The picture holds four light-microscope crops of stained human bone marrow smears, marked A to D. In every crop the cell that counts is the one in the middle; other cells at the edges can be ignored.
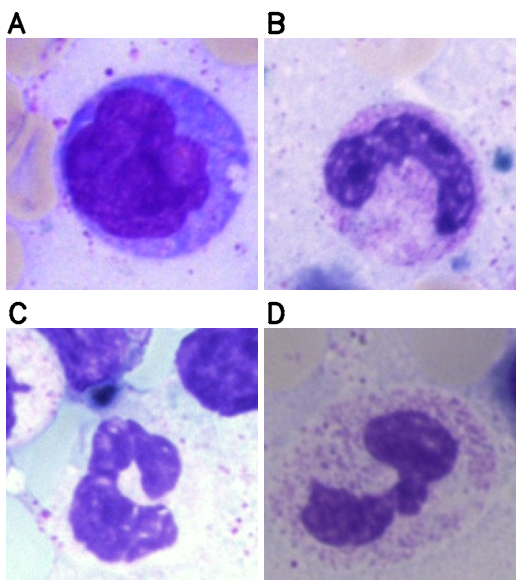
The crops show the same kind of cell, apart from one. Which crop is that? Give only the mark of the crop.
A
